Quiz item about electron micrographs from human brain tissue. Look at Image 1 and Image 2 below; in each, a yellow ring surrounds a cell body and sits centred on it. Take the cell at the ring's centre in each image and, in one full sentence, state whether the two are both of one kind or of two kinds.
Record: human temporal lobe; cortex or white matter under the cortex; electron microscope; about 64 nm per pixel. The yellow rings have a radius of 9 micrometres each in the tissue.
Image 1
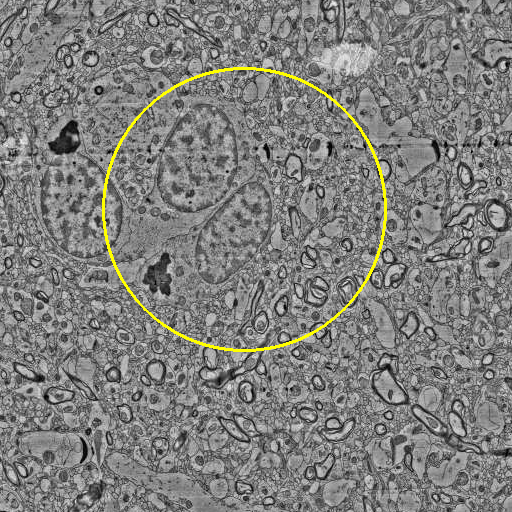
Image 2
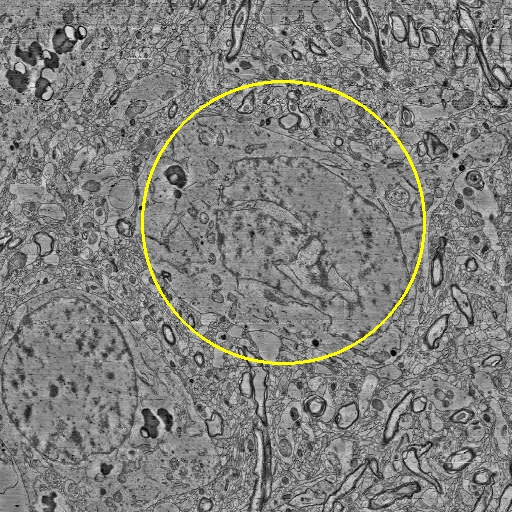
In Image 1 and Image 2, the cells at the ring centres are of two kinds.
